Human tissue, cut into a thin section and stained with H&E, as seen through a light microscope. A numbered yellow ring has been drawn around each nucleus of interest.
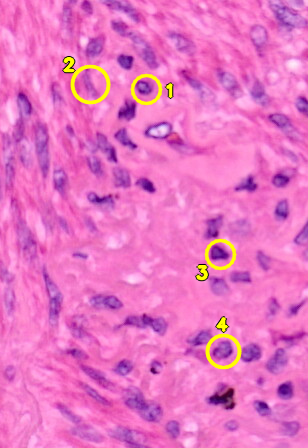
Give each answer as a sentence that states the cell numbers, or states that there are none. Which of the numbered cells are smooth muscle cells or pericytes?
Only the cell marked 2 is a smooth muscle cell or pericyte.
